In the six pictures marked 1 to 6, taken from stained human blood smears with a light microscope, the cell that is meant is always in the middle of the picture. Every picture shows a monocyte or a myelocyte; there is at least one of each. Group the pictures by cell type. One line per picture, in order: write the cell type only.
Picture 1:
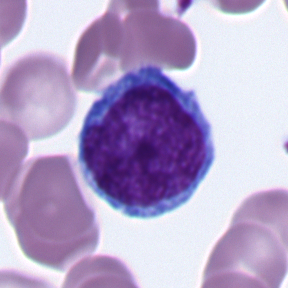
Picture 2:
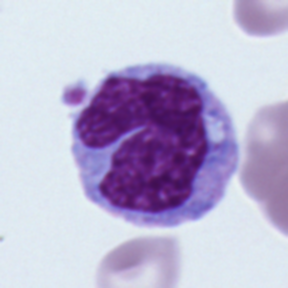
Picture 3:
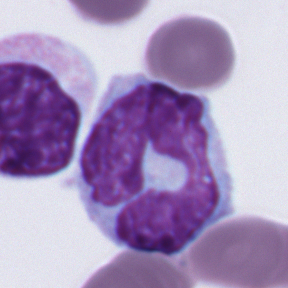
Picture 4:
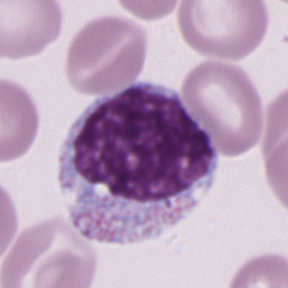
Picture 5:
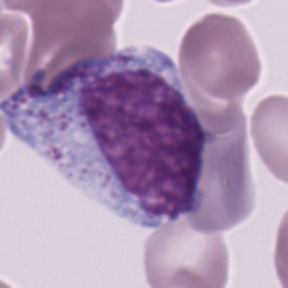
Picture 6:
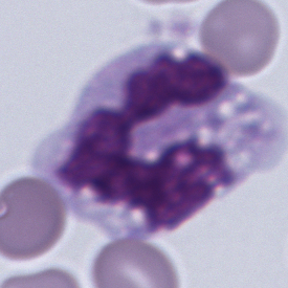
monocyte
monocyte
monocyte
myelocyte
myelocyte
monocyte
